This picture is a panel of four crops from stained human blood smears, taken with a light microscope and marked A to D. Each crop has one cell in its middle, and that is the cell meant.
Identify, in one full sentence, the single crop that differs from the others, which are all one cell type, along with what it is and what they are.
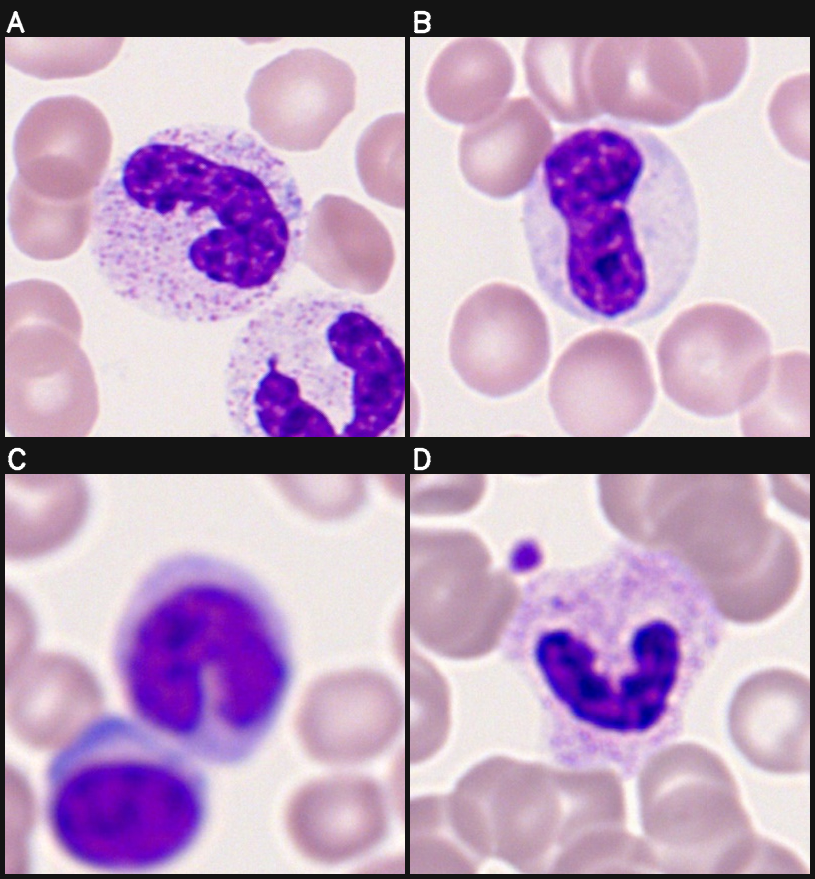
Excluding crop C, which is a monocyte, the crops all show band neutrophils.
